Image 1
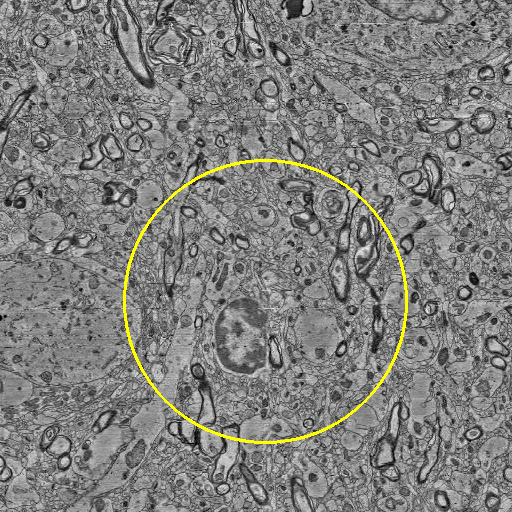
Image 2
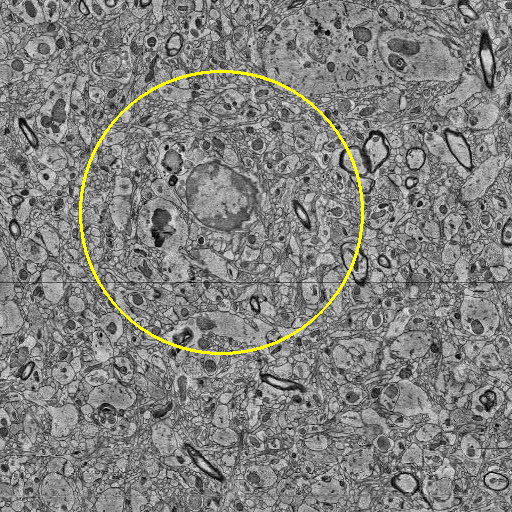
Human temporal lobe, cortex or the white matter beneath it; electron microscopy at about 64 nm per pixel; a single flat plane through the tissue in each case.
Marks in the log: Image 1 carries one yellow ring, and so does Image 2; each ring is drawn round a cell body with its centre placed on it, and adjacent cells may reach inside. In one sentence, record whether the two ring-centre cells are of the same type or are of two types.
The two cells at the ring centres, one in each image, are of the same type.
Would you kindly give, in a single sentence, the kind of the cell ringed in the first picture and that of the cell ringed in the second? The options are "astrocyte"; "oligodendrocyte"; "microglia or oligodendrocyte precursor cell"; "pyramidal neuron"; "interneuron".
The second cell is a microglial cell or oligodendrocyte precursor cell, just as the first is.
